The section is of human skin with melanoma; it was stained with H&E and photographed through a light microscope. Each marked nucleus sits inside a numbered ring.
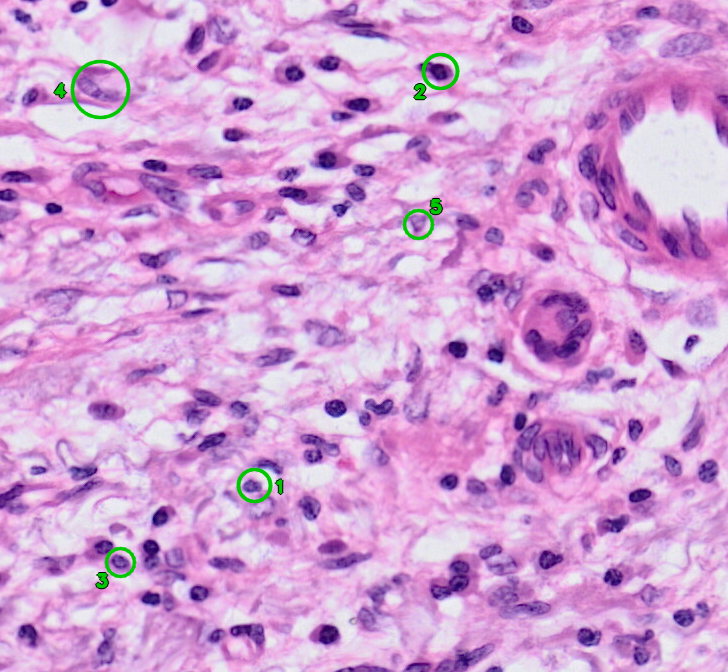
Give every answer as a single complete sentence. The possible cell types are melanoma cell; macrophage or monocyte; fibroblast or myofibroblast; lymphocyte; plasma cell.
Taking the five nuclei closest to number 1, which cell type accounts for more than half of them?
Of the five nuclei nearest to number 1, most belong to fibroblasts or myofibroblasts.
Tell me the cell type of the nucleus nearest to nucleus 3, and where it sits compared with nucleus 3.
The nearest nucleus is that of a plasma cell and lies above and to the left of nucleus 3.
